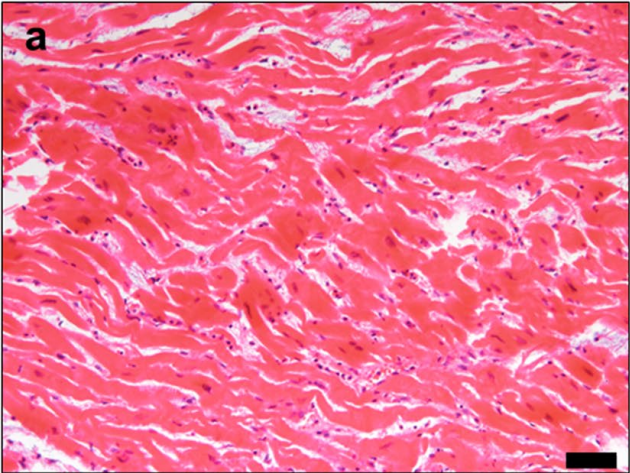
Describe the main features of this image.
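This is heart muscle in which the cardiac muscle fibres stain an intense, dark red, far deeper than the usual pink of myocardium. The fibres run in wavy, undulating bundles instead of straight parallel rows, and many look fragmented or swollen. Small dark nuclei are scattered in the pale spaces between the fibres, suggesting inflammatory cells entering the tissue. The deep red staining together with the wavy fibres points to coagulation necrosis of the myocardium at an early stage.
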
